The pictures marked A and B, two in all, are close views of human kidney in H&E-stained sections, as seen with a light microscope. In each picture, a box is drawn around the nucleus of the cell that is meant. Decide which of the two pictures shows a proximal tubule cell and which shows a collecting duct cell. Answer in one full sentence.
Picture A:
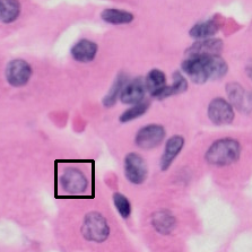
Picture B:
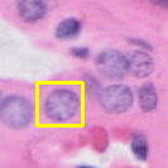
Picture A shows a proximal tubule cell and picture B shows a collecting duct cell.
